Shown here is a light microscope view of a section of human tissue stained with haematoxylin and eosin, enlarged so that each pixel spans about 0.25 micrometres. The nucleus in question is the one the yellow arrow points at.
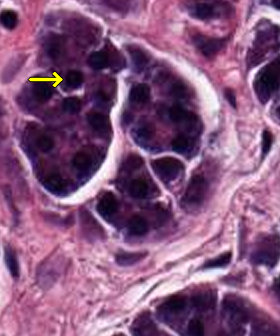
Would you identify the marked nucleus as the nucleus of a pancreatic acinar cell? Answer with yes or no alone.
yes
